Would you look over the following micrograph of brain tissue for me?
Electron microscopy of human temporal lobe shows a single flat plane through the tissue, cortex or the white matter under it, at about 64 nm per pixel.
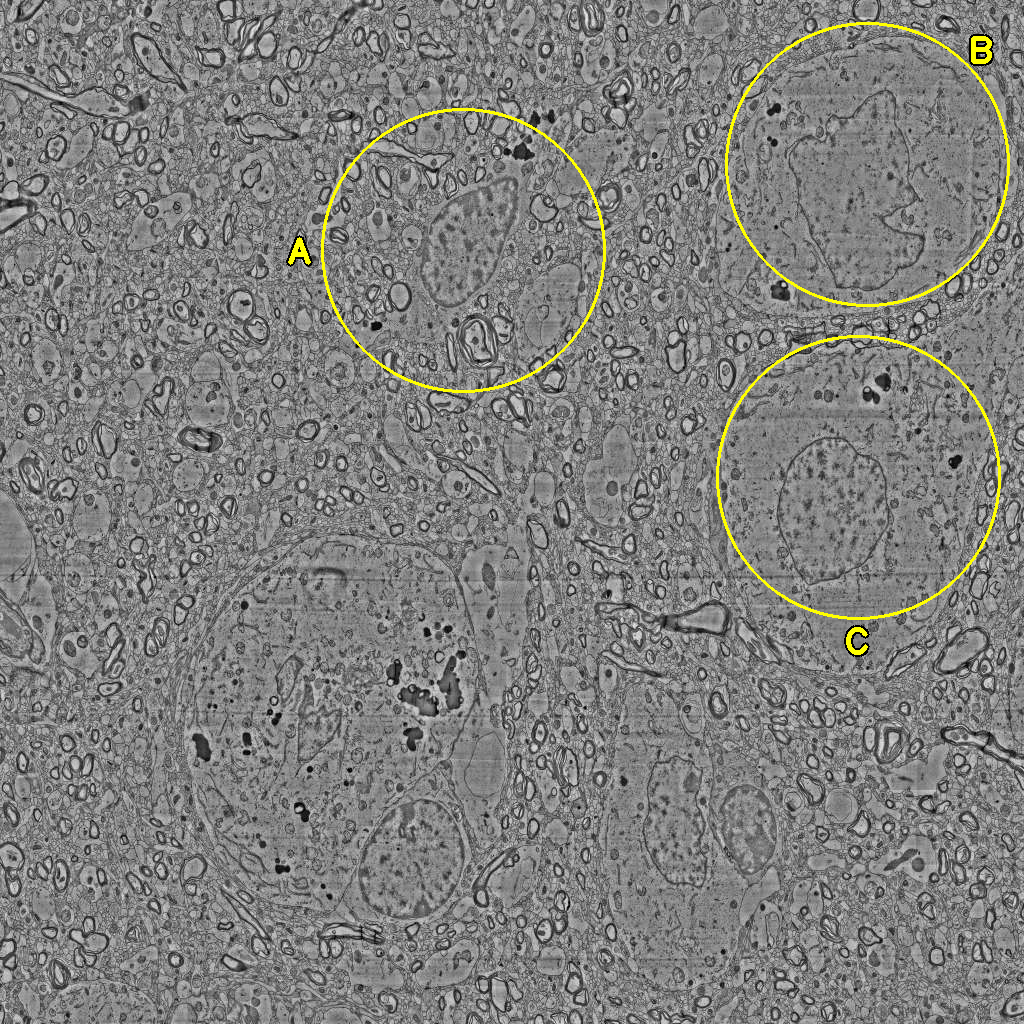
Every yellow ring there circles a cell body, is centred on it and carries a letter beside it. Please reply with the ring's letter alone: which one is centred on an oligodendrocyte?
A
